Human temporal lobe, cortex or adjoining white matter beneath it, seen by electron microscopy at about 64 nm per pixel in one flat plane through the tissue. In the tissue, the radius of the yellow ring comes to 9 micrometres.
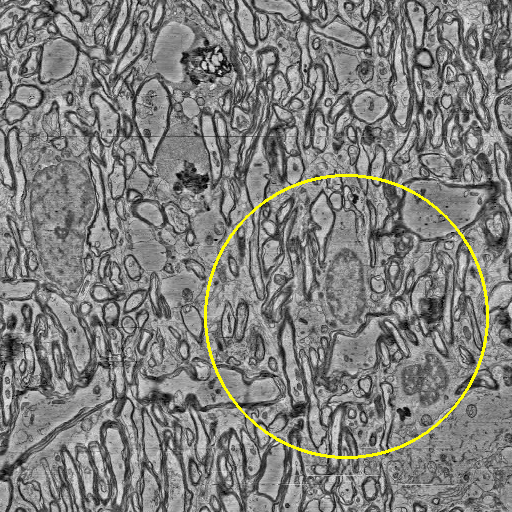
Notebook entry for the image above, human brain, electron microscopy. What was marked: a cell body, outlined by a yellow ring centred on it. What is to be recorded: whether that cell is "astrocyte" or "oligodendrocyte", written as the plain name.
oligodendrocyte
